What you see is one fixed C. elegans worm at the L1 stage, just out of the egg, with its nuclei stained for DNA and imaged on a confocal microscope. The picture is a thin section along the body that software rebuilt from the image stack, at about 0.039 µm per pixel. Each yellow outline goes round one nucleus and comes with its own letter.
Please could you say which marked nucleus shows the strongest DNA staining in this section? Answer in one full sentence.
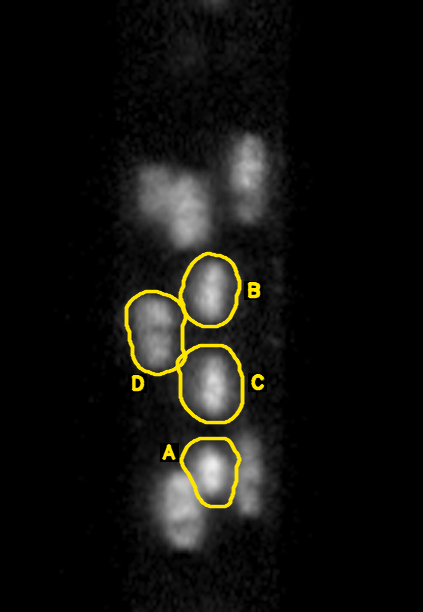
Nucleus A shows the strongest staining.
